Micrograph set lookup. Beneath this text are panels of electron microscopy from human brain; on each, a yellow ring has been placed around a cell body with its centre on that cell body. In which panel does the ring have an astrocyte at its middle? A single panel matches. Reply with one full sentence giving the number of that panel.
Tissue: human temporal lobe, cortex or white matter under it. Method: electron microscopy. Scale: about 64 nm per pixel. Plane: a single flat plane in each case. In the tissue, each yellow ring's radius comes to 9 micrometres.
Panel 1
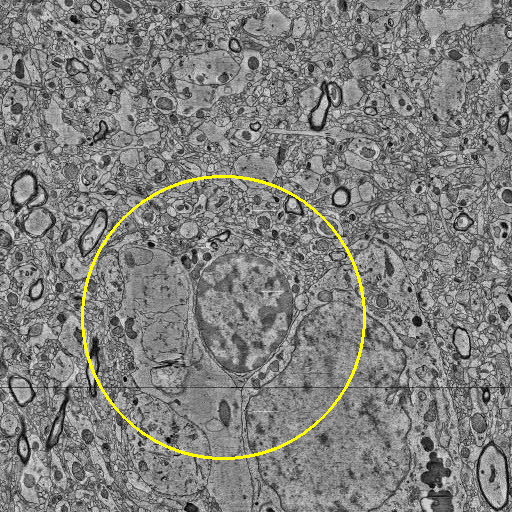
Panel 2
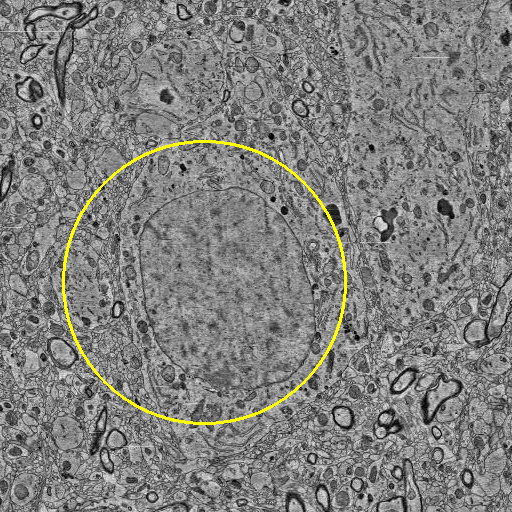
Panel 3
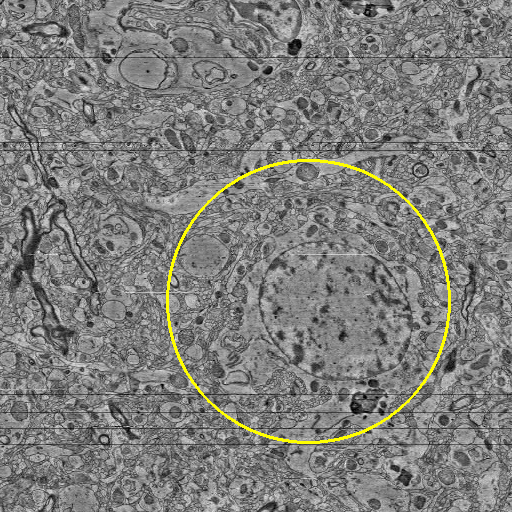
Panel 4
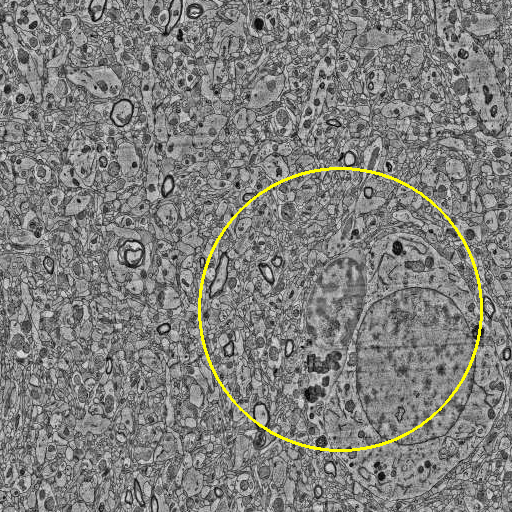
Panel 3 is the one whose ring has the sought cell at its centre.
